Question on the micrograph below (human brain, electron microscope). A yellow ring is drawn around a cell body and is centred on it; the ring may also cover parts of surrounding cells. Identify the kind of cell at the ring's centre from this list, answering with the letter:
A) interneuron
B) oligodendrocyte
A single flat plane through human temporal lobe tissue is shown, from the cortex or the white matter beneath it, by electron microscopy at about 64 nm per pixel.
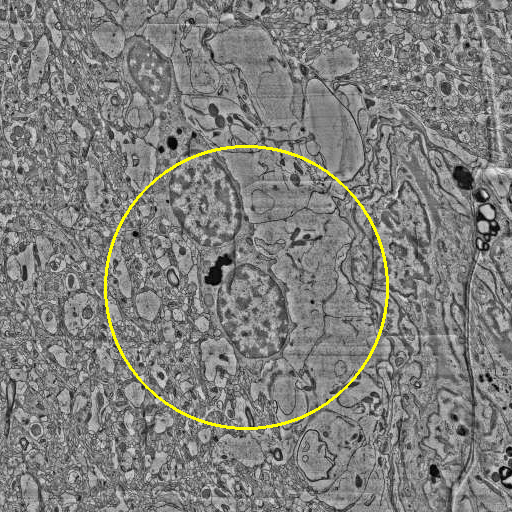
B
